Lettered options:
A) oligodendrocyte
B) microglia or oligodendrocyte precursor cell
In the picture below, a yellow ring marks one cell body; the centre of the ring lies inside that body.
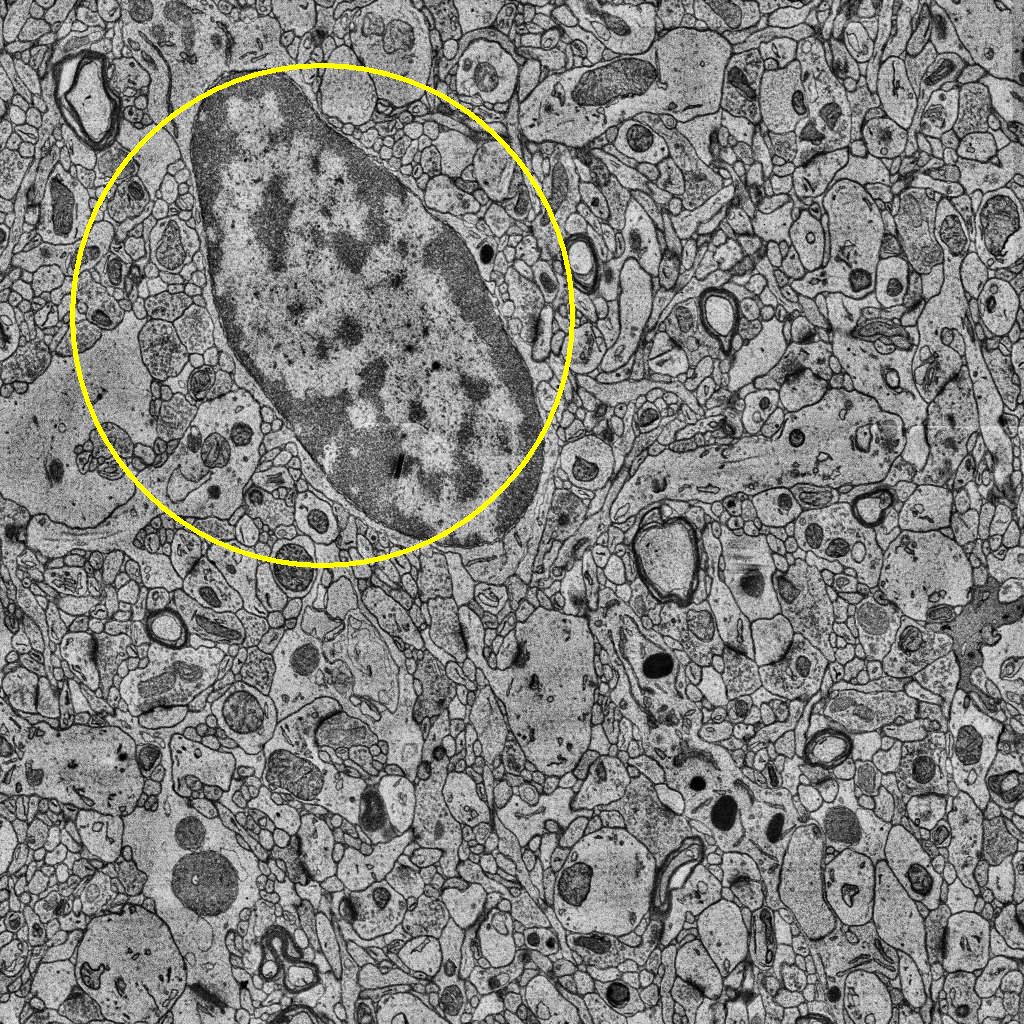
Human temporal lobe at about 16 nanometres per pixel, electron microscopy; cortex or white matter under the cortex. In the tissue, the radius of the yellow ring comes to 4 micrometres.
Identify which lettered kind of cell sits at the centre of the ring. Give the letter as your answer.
B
